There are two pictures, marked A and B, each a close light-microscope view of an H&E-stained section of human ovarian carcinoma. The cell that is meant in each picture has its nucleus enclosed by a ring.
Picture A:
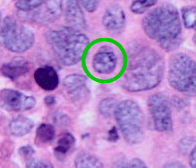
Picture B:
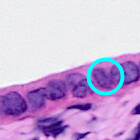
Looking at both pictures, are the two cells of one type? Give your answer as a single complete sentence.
No. Picture A shows a “macrophage or monocyte”, but picture B shows a carcinoma cell.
